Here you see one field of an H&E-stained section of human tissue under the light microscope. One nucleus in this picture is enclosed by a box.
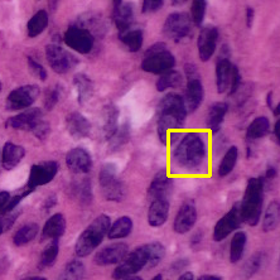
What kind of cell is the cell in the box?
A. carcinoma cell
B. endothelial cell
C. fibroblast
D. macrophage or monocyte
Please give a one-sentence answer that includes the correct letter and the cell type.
The correct option, A, describes the cell in the box as a carcinoma cell.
